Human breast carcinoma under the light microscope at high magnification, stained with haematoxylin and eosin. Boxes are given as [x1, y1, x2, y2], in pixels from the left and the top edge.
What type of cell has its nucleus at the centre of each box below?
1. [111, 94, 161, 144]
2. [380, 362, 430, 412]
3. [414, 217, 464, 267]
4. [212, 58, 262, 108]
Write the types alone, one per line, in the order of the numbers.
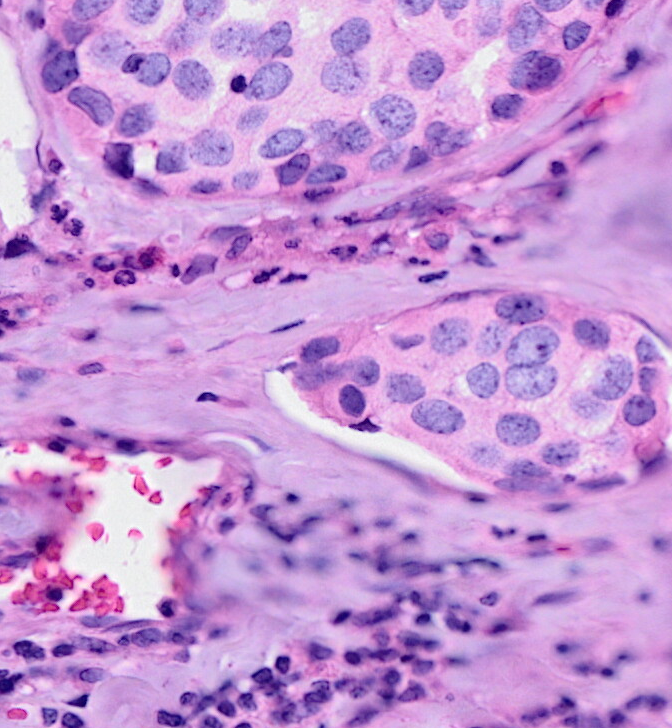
carcinoma cell
carcinoma cell
mast cell
lymphocyte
